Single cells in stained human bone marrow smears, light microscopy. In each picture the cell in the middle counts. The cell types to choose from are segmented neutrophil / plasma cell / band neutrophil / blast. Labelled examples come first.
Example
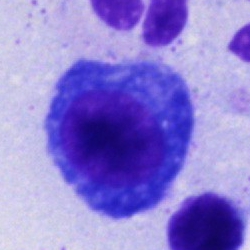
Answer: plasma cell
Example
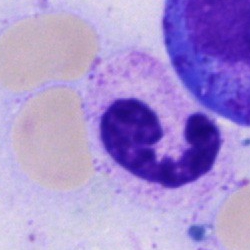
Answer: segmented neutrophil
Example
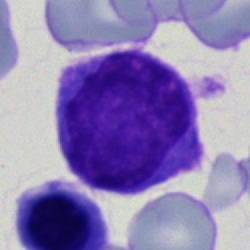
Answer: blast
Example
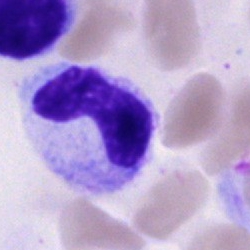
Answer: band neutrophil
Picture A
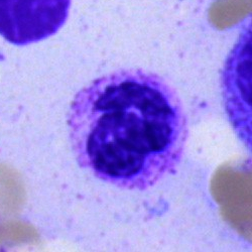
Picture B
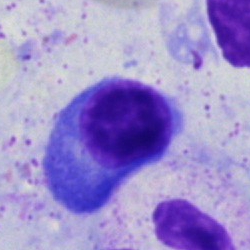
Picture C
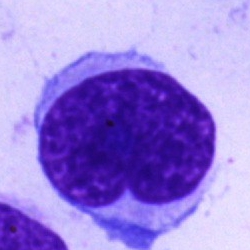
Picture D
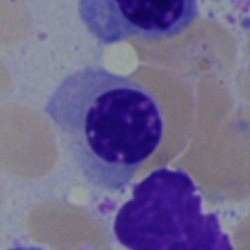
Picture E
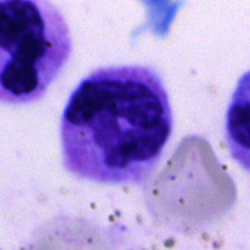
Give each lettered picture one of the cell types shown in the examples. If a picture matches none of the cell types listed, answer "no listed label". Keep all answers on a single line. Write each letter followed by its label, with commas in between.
A segmented neutrophil, B plasma cell, C blast, D no listed label, E segmented neutrophil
